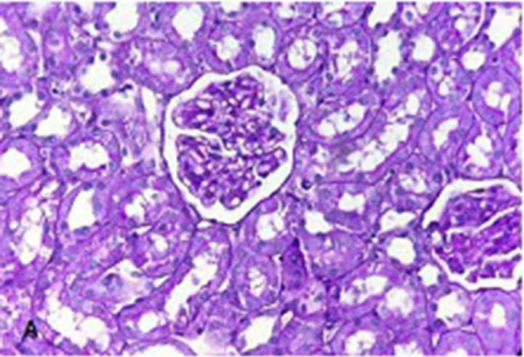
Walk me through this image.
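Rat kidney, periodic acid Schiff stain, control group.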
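This section of renal cortex shows glomeruli surrounded by closely packed tubules lined by epithelial cells. The larger glomerulus has a lobulated capillary tuft stained magenta, separated from its enclosing capsule by a clear, even space. The tubules are round to oval in cross section, with magenta-outlined walls and a single layer of cuboidal cells with round purple nuclei. Many tubules show a magenta-staining luminal border and open lumens. The tissue is orderly, with no crowding of inflammatory cells between the tubules.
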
